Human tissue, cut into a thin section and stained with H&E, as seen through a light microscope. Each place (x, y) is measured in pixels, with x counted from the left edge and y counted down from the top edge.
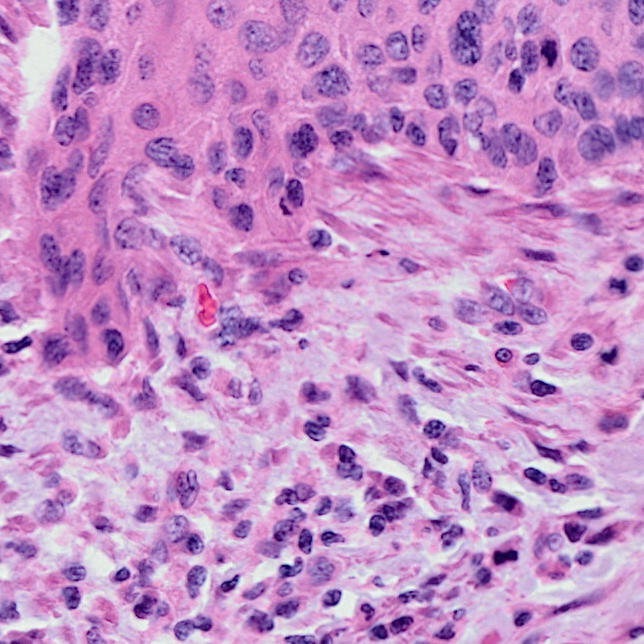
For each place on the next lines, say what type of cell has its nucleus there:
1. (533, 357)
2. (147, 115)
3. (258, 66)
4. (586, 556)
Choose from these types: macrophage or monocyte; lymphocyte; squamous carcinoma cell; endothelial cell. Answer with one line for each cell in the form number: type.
1: lymphocyte
2: squamous carcinoma cell
3: squamous carcinoma cell
4: lymphocyte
